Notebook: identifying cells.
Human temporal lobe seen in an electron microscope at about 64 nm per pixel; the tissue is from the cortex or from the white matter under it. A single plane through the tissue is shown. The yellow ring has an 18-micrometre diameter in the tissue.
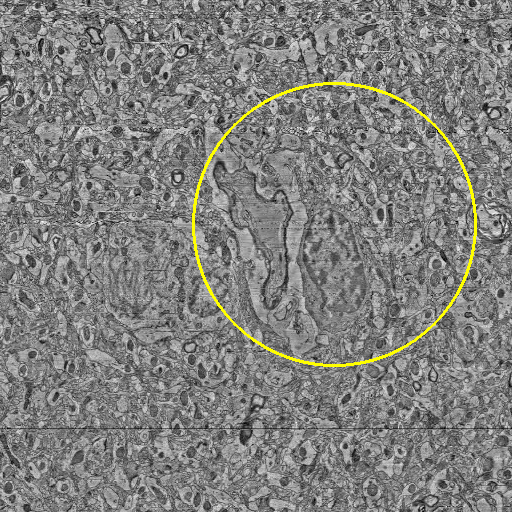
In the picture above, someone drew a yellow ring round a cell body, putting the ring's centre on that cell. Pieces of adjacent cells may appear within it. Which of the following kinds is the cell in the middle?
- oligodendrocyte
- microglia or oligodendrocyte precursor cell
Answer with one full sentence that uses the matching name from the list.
In this picture, the yellow ring is centred on the body of an oligodendrocyte.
